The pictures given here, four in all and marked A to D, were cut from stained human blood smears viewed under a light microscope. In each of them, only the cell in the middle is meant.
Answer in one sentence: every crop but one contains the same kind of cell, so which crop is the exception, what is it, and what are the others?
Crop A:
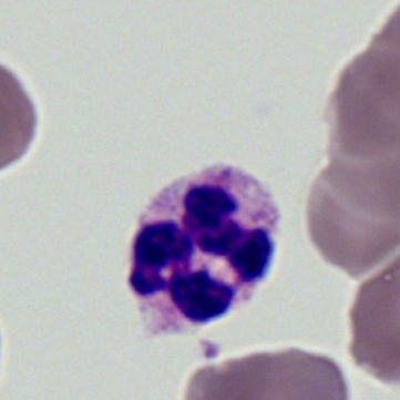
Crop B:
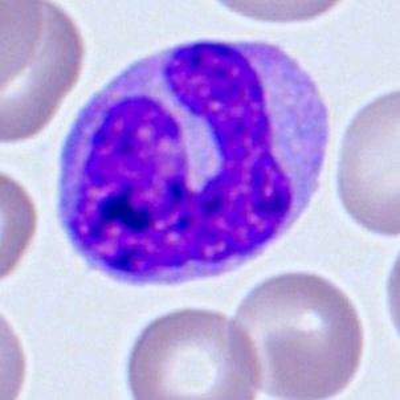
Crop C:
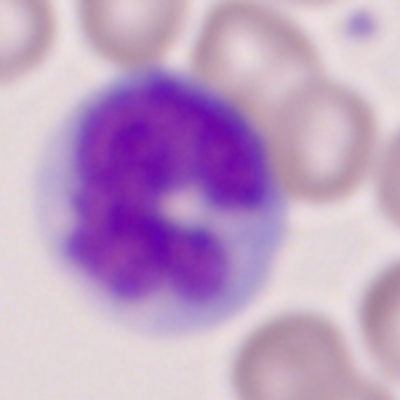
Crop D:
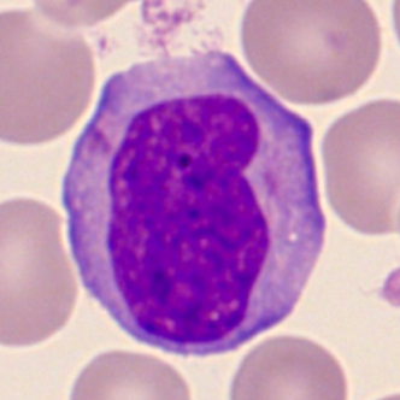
The one crop not showing monocytes is crop A, which shows a segmented neutrophil.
